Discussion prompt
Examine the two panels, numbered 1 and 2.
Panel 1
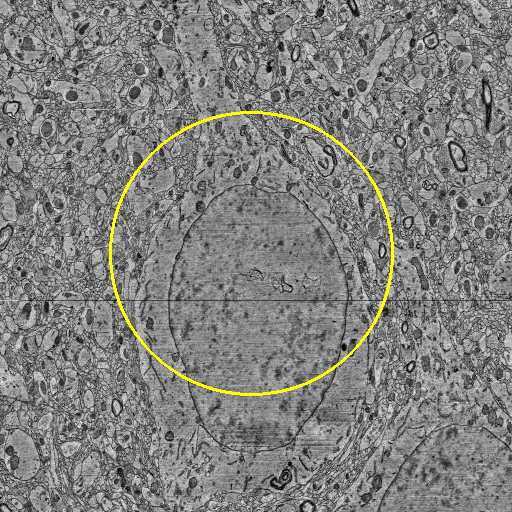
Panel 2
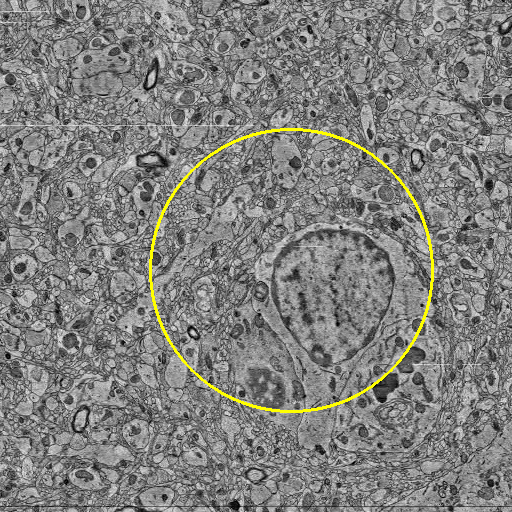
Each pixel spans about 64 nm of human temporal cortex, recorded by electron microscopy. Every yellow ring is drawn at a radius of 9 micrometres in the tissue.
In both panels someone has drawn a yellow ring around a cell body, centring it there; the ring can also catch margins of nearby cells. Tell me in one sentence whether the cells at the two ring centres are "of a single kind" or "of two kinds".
Taken together, the two cells centred in the rings of Panels 1 and 2 are of two kinds.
